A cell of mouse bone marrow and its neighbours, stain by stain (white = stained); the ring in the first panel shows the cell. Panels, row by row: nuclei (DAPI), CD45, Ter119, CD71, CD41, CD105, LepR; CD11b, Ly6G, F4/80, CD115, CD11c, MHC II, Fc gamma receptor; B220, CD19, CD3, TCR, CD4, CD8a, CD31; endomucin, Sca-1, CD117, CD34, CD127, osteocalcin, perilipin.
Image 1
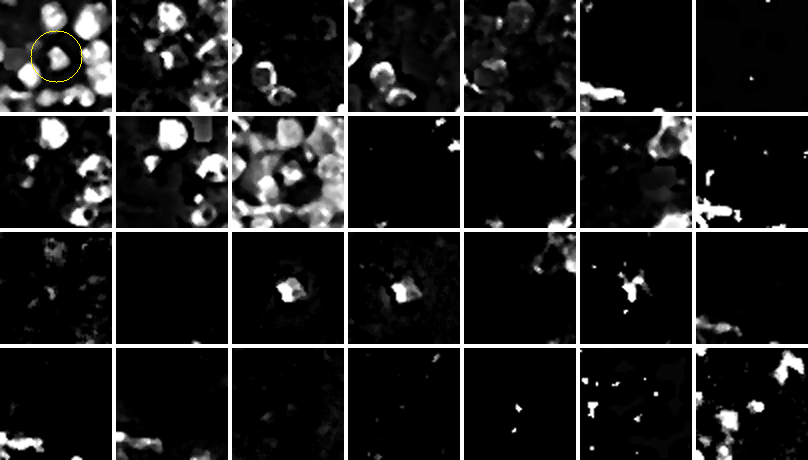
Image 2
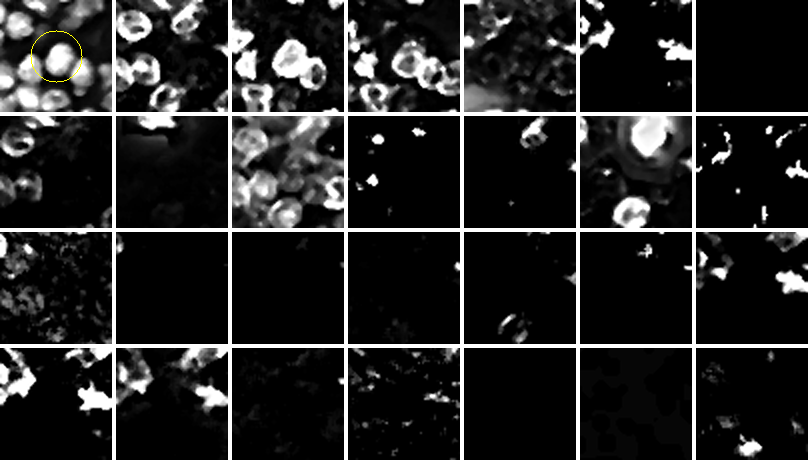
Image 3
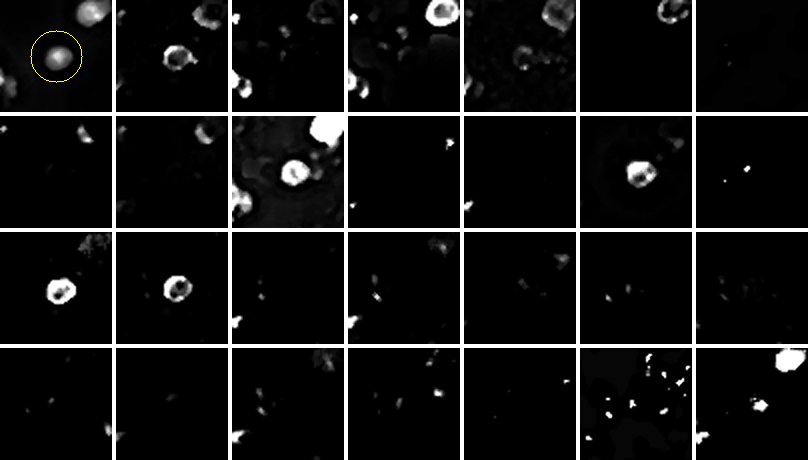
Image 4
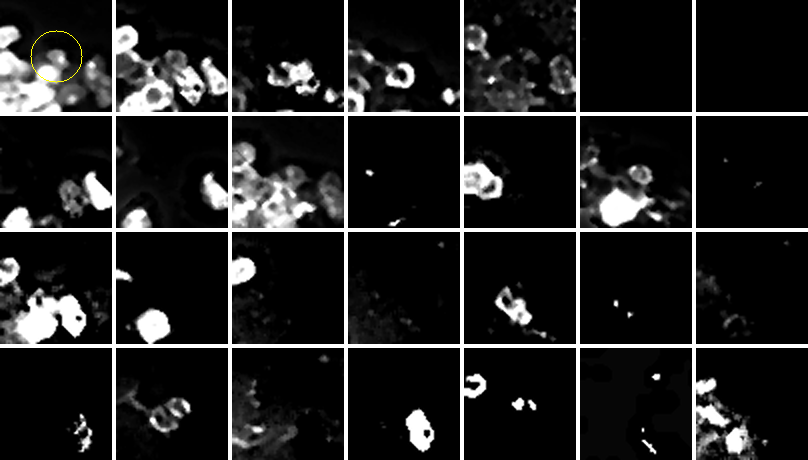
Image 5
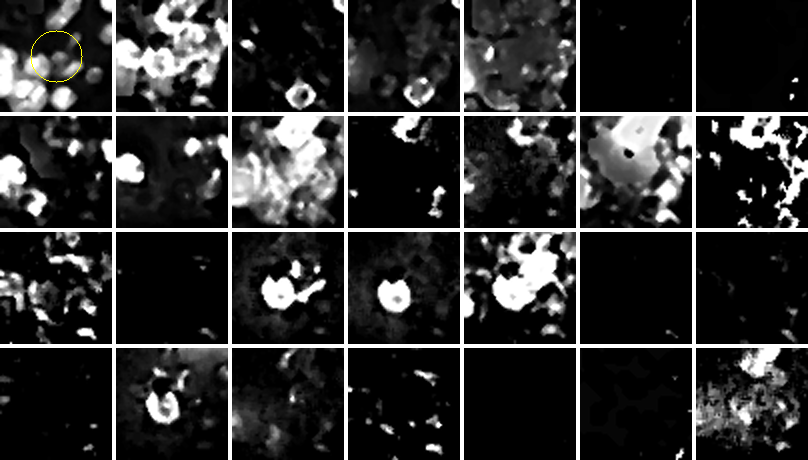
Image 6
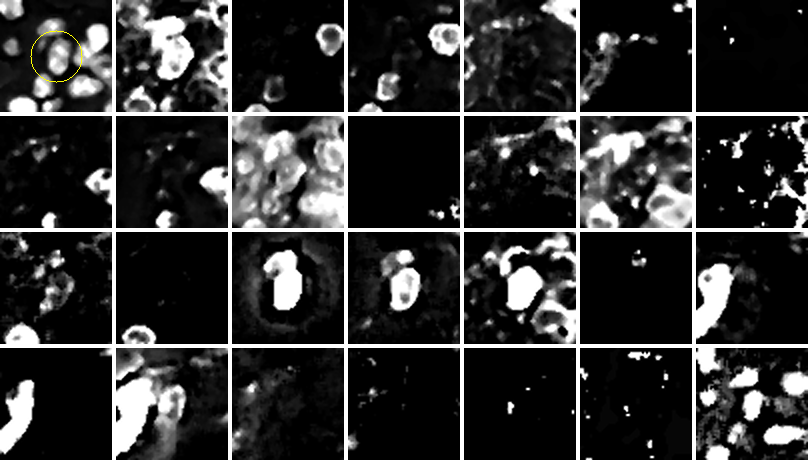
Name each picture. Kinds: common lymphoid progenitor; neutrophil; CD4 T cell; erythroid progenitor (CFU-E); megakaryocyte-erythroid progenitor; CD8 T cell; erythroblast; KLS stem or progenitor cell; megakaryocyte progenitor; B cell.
Picture 1: CD8 T cell
Picture 2: erythroblast
Picture 3: B cell
Picture 4: common lymphoid progenitor
Picture 5: CD4 T cell
Picture 6: CD4 T cell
